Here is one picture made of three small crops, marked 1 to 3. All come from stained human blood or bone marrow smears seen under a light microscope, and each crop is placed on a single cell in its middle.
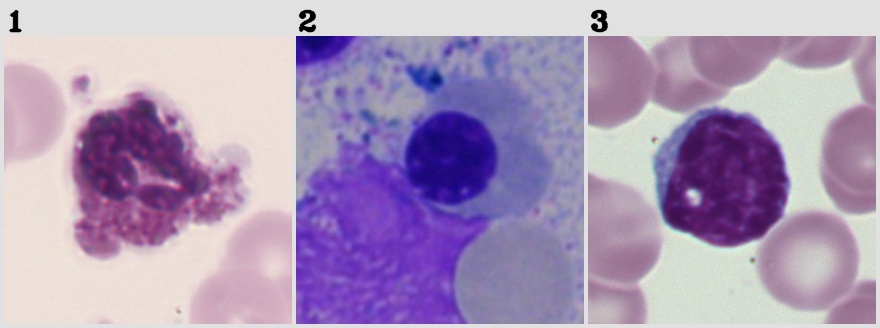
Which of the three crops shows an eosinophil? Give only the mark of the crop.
1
